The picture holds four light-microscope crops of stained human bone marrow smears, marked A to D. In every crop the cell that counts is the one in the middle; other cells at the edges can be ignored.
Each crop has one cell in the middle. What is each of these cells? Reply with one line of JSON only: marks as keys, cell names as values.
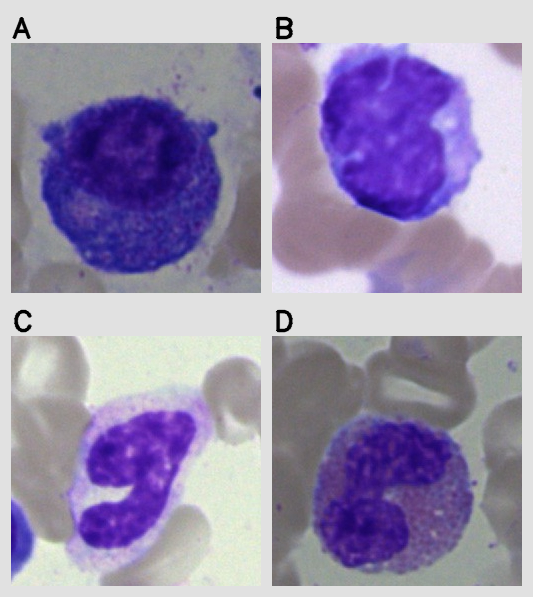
{"A": "promyelocyte", "B": "monocyte", "C": "band neutrophil", "D": "eosinophil"}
